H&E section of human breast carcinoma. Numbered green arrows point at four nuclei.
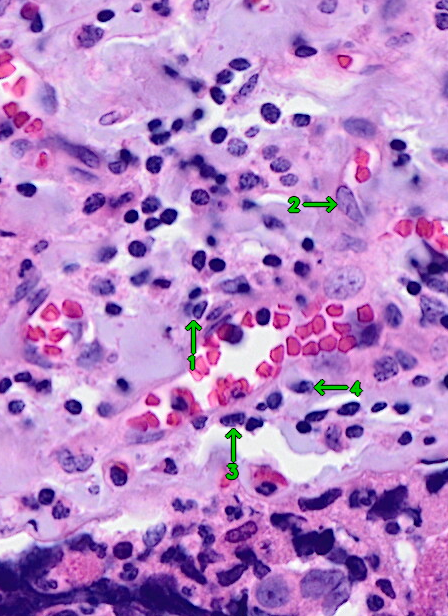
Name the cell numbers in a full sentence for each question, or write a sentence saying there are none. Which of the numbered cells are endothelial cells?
It is only cell 2 that is an endothelial cell among the numbered cells.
